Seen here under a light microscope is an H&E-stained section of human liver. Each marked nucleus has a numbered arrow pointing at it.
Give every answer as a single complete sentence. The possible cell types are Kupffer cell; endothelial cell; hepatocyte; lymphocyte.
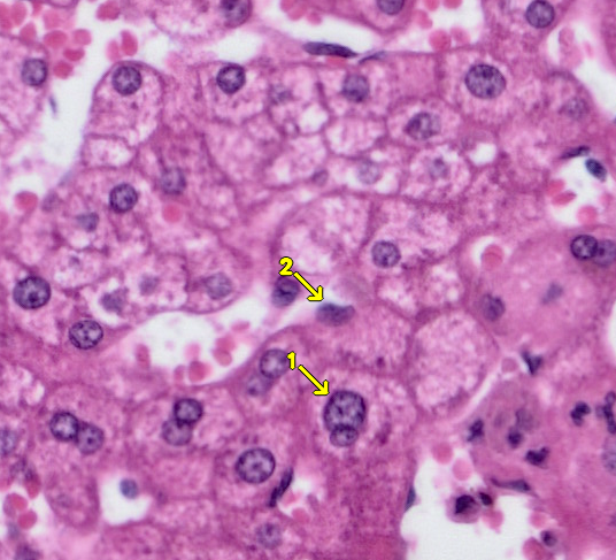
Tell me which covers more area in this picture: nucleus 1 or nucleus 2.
Nucleus 1 covers more area, about 2 times as much as nucleus 2.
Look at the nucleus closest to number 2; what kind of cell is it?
The nearest nucleus to number 2 belongs to a Kupffer cell.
